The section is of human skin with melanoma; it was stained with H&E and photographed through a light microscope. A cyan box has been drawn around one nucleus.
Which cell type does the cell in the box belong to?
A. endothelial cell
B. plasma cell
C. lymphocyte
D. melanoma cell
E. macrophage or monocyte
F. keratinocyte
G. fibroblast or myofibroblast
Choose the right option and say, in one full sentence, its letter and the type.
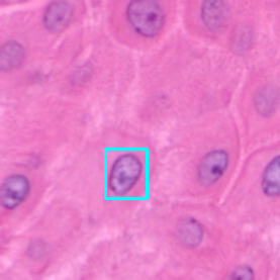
According to option F, the cell in the box is a keratinocyte, and this is correct.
